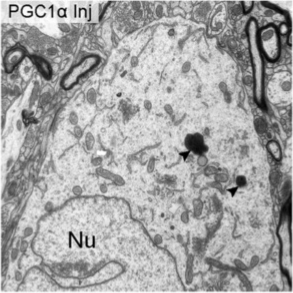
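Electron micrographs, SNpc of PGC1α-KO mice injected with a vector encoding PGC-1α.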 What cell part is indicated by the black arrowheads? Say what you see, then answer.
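The arrowheads point to very electron-dense, dark irregular bodies in the cytoplasm.
Lipofuscin granules.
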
